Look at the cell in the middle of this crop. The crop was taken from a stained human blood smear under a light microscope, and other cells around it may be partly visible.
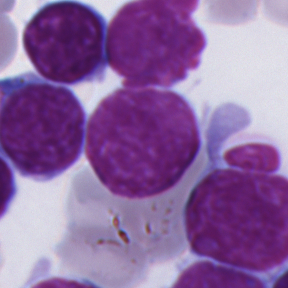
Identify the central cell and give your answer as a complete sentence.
In the middle of this smear crop is a myeloblast.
